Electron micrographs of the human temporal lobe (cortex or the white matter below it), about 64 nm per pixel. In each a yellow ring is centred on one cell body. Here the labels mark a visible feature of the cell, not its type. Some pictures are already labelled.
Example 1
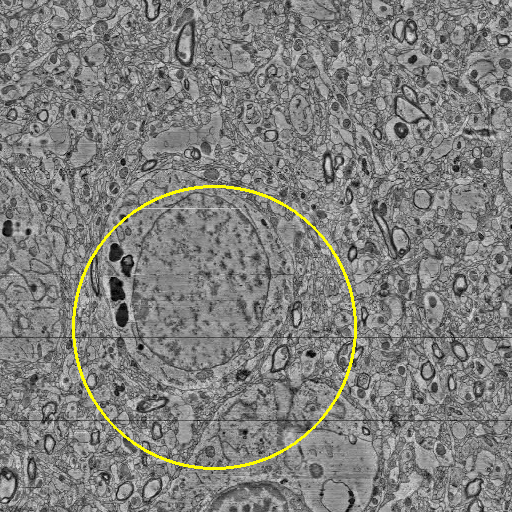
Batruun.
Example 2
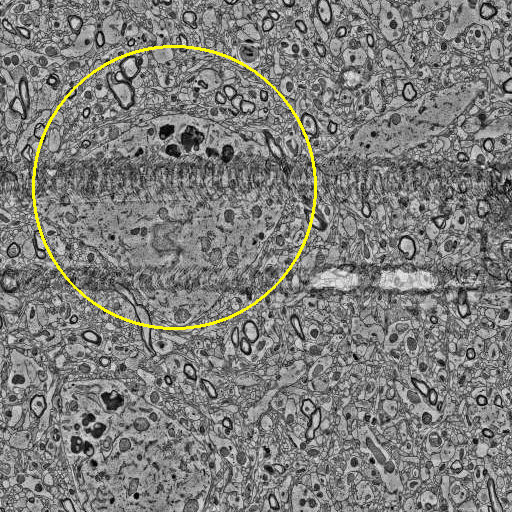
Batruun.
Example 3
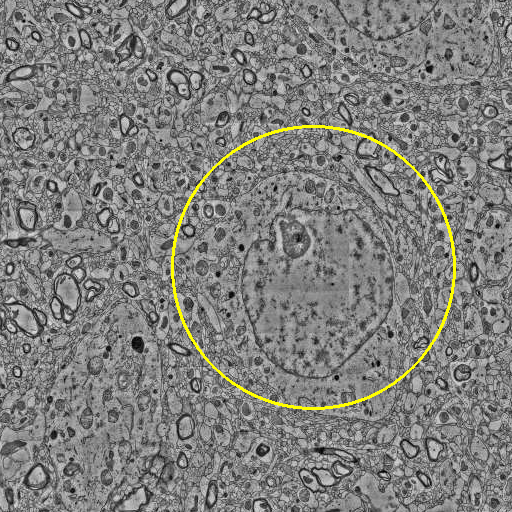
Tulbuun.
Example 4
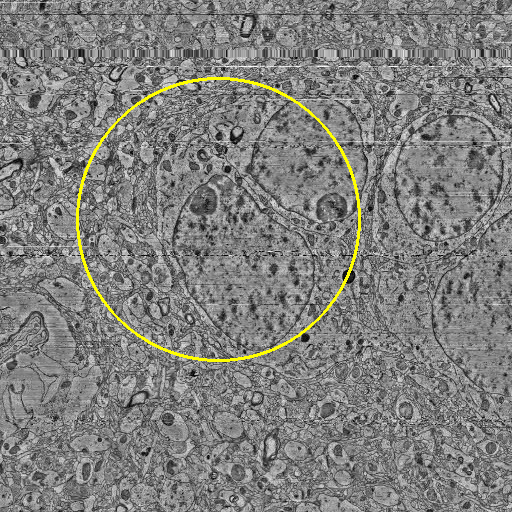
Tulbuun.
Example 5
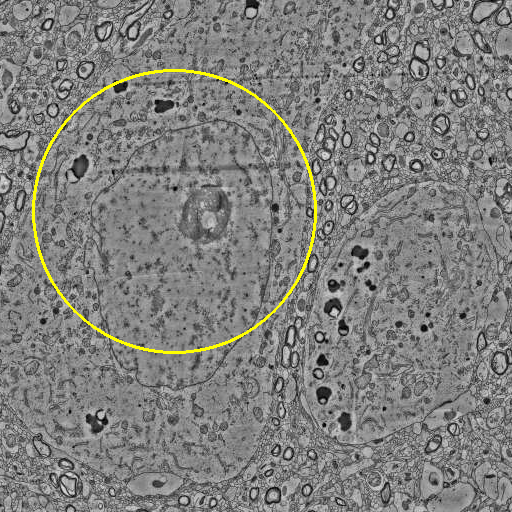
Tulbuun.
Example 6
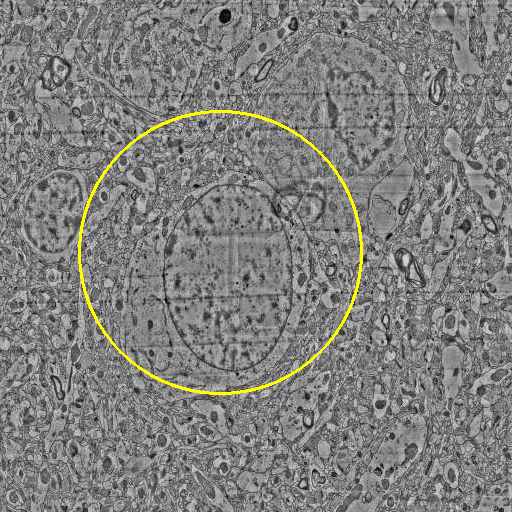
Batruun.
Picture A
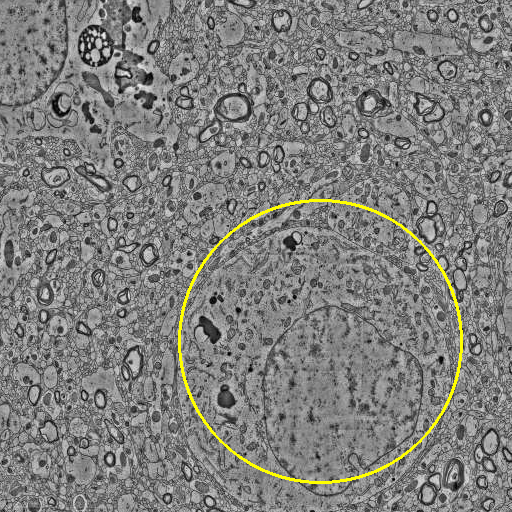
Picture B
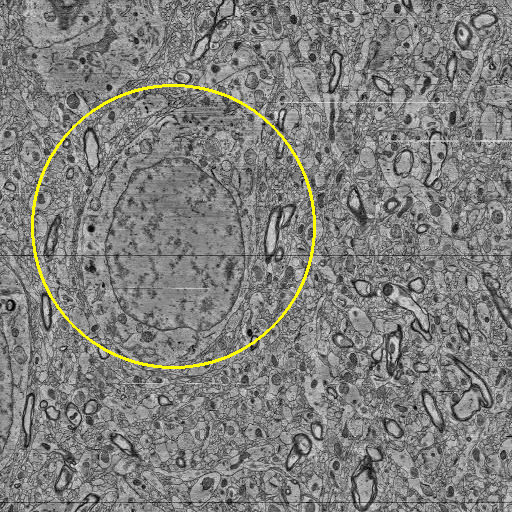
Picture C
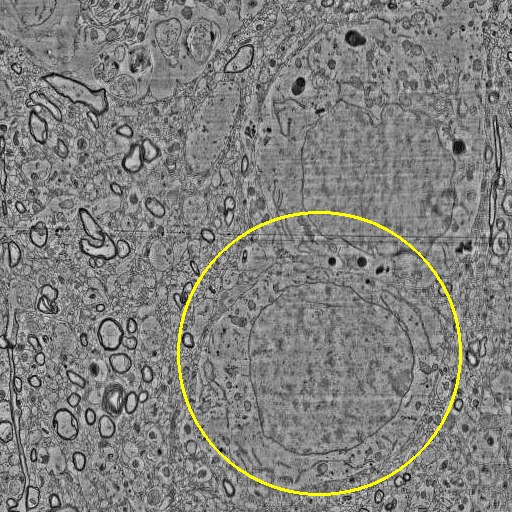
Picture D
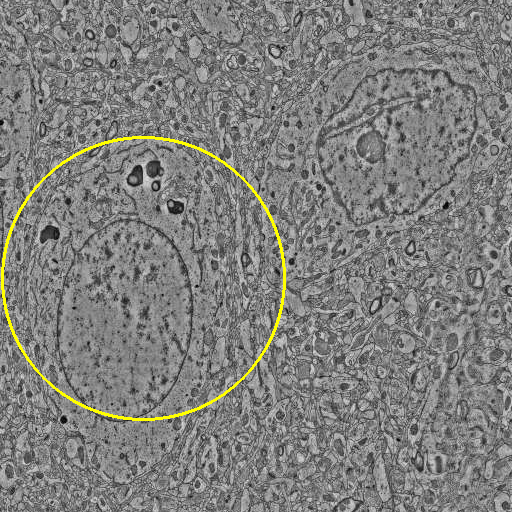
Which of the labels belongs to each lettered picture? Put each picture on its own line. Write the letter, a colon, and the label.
A: Batruun.
B: Batruun.
C: Batruun.
D: Batruun.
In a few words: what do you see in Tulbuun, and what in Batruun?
In Tulbuun: nucleolus seen. In Batruun: no nucleolus seen.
